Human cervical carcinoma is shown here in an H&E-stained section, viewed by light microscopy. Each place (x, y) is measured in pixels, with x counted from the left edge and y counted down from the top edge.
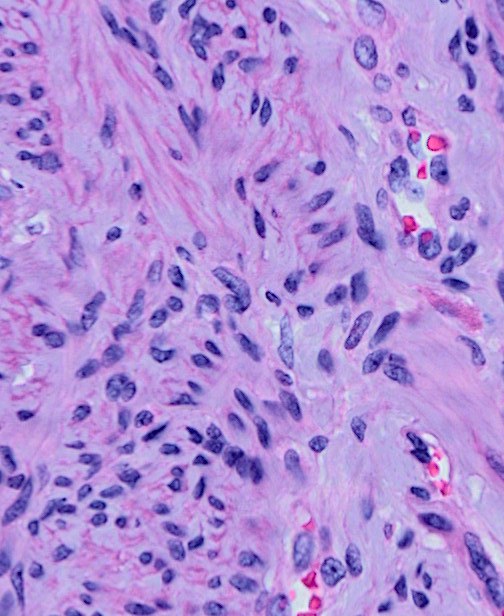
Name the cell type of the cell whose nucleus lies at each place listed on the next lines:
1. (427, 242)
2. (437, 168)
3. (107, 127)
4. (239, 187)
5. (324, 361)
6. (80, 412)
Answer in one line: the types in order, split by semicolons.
endothelial cell; endothelial cell; smooth muscle cell; smooth muscle cell; fibroblast; smooth muscle cell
